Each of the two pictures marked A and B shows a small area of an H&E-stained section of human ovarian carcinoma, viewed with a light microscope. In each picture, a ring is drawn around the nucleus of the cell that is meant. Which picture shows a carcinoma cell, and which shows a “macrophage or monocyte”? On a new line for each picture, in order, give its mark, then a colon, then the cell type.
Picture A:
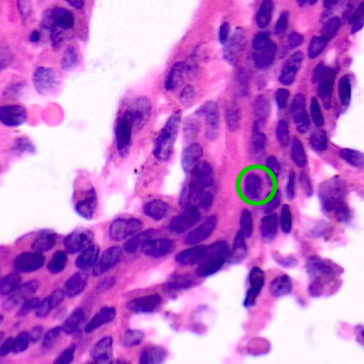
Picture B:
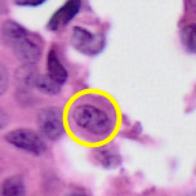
A: carcinoma cell
B: macrophage or monocyte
